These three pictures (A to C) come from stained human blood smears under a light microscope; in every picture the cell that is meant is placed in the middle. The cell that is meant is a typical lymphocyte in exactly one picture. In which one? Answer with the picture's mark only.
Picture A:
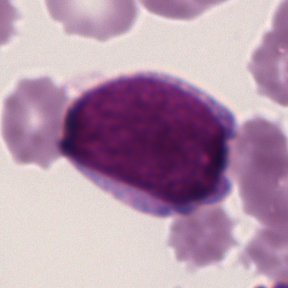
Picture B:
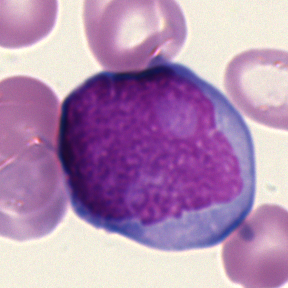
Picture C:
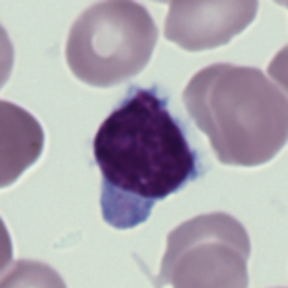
C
